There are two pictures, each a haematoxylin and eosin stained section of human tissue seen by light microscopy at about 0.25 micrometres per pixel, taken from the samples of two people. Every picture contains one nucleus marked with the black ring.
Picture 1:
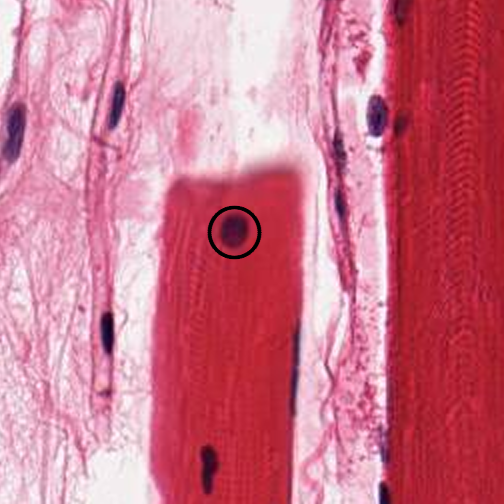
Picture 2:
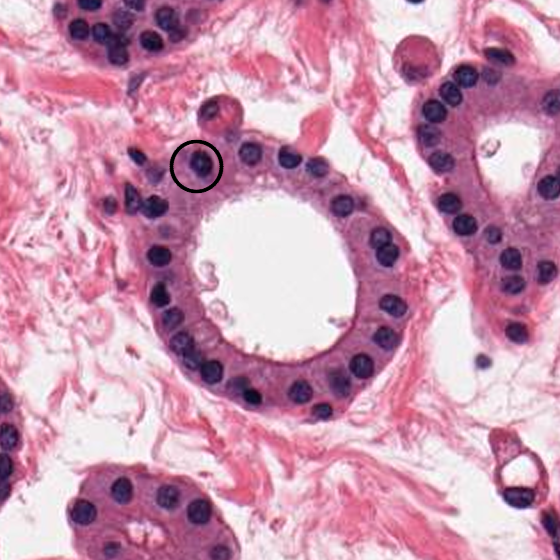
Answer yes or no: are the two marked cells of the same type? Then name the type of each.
No, the first is a skeletal muscle fibre and the second a thyroid follicular cell.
